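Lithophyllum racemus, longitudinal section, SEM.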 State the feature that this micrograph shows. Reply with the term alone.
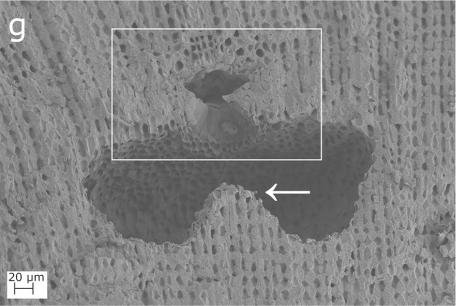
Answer: a conceptacle chamber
